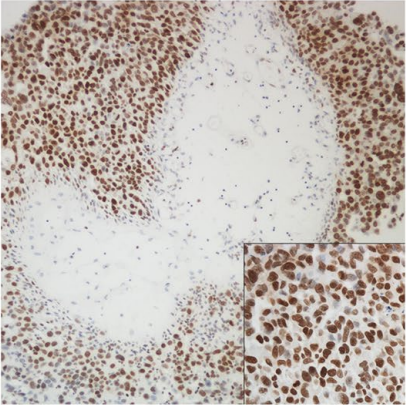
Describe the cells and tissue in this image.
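Sheets of densely packed tumor cells line both sides of a loose, pale stroma, and almost every nucleus in them is stained a deep brown. The central stroma is loose and sparsely cellular, with small blue nuclei and few brown ones.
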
